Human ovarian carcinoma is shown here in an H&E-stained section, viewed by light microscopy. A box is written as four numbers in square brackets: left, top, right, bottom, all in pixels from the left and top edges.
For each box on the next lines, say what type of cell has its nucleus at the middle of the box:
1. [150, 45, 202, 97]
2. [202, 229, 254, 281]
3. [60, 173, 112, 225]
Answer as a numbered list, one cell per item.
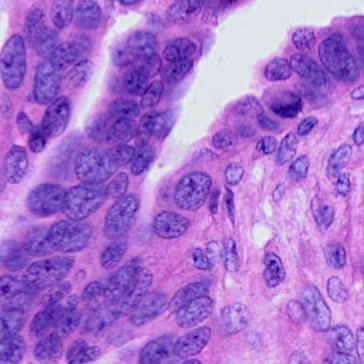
1. carcinoma cell
2. fibroblast
3. carcinoma cell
